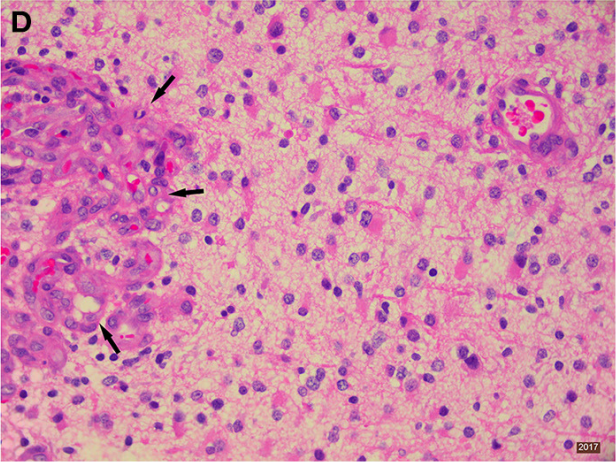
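This is an astrocytic tumor with glomeruloid vascular proliferation. At the left, a rounded, knot-like tuft of small vessels is formed by plump, piled-up lining cells with oval nuclei, enclosing small lumens that hold red blood cells and set in pink walls. The surrounding tumor consists of cells with irregular, variably sized, hyperchromatic nuclei scattered in a pale pink fibrillary background; some cells have a rim of eosinophilic cytoplasm. At the upper right a smaller vessel contains red blood cells and is lined by several crowded nuclei. The cells are not arranged in any orderly pattern.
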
